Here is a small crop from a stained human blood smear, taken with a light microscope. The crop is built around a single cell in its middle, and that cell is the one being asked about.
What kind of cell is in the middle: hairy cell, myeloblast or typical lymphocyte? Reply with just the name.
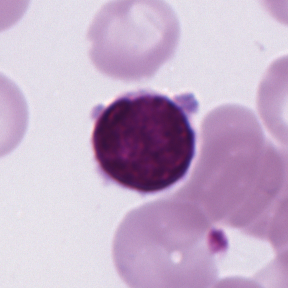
typical lymphocyte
